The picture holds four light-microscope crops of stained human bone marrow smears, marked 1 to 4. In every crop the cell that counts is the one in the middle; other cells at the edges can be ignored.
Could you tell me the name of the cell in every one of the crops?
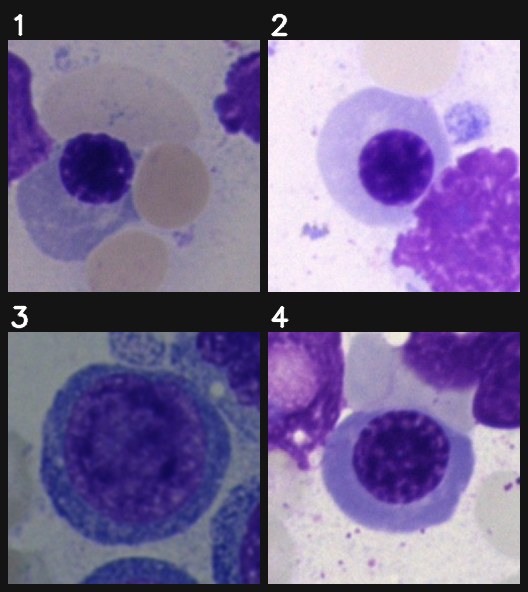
1: erythroblast
2: erythroblast
3: blast
4: erythroblast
